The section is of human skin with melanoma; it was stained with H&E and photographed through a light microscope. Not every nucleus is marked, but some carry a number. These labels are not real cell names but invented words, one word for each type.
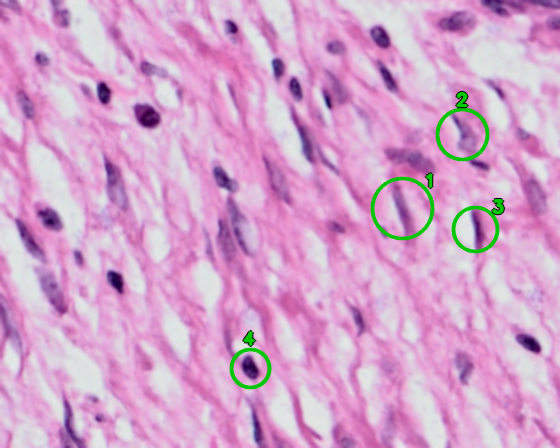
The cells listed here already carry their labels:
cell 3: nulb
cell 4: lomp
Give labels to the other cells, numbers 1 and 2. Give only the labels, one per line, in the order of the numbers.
nulb
nulb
